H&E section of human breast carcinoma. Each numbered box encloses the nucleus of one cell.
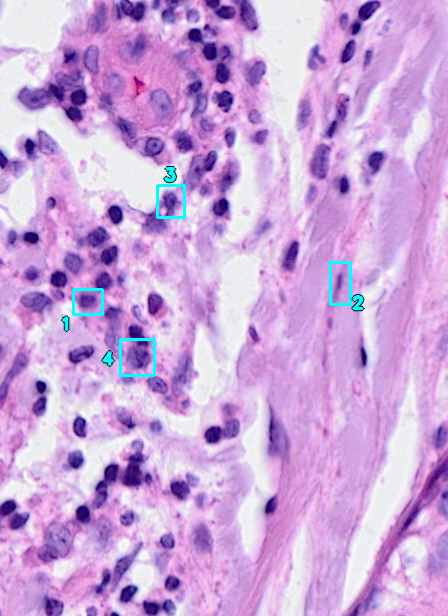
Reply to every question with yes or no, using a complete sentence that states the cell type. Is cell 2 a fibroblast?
Yes, the cell at number 2 is a fibroblast.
